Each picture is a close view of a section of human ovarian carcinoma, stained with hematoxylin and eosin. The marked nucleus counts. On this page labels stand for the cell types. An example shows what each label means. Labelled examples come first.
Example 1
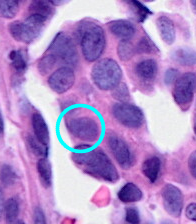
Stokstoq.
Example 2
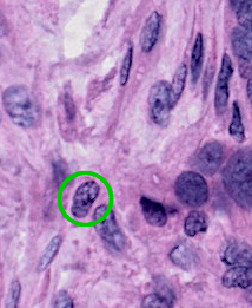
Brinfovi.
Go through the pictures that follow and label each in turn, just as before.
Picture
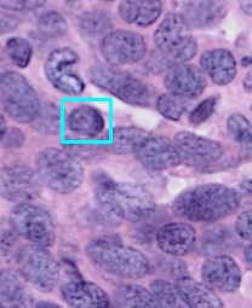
Stokstoq.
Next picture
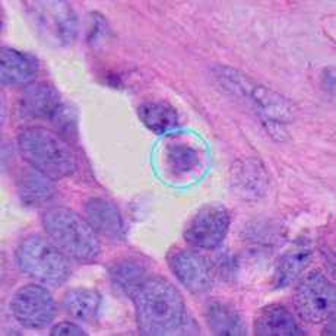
Brinfovi.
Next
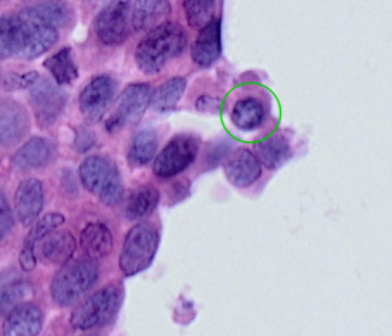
Brinfovi.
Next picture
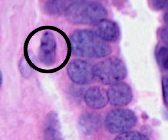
Brinfovi.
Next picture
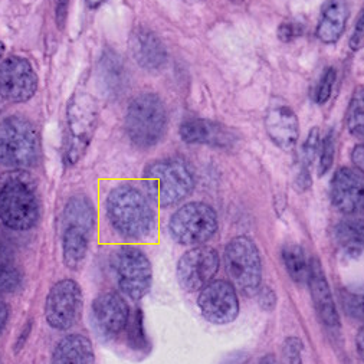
Stokstoq.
